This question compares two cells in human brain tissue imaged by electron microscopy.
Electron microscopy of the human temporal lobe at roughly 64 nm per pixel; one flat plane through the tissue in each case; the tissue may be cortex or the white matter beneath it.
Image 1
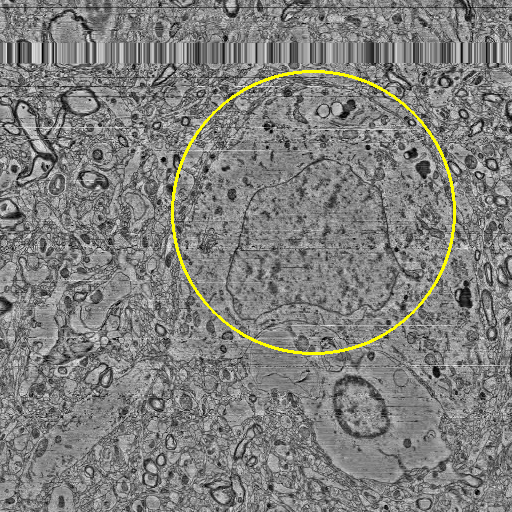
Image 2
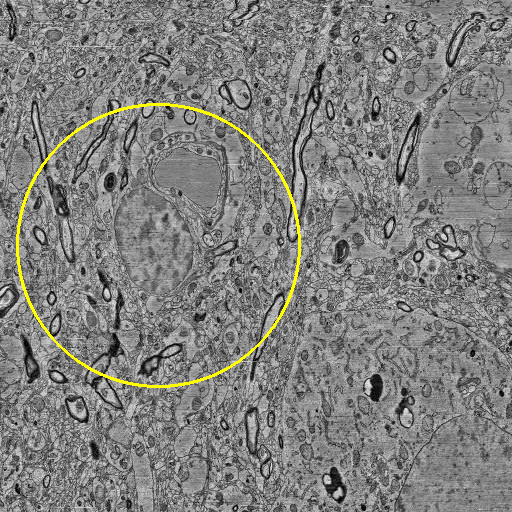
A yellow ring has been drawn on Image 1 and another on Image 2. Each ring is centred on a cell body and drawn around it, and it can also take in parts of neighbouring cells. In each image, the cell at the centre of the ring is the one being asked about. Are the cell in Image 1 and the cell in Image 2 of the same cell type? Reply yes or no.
no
